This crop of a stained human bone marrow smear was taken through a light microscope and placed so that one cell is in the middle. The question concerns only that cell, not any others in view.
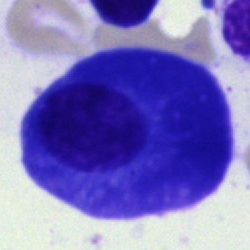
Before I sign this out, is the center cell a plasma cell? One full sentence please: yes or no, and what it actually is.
Yes, the crop is centred on a plasma cell.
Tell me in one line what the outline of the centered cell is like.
You can see a smooth boundary, with no projections sticking out.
